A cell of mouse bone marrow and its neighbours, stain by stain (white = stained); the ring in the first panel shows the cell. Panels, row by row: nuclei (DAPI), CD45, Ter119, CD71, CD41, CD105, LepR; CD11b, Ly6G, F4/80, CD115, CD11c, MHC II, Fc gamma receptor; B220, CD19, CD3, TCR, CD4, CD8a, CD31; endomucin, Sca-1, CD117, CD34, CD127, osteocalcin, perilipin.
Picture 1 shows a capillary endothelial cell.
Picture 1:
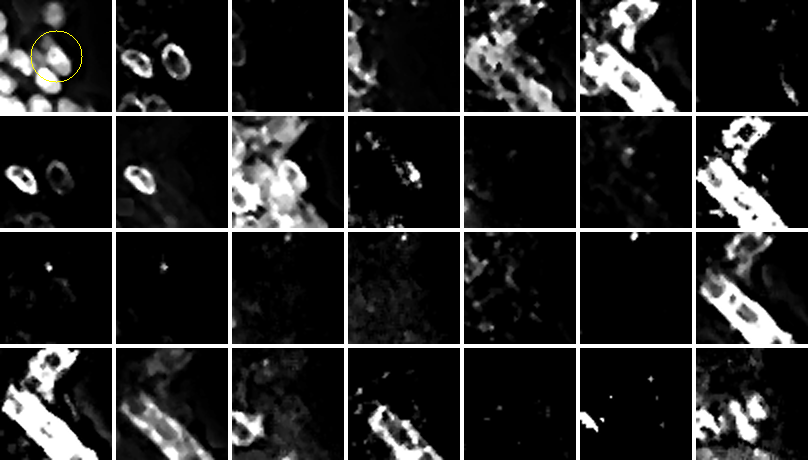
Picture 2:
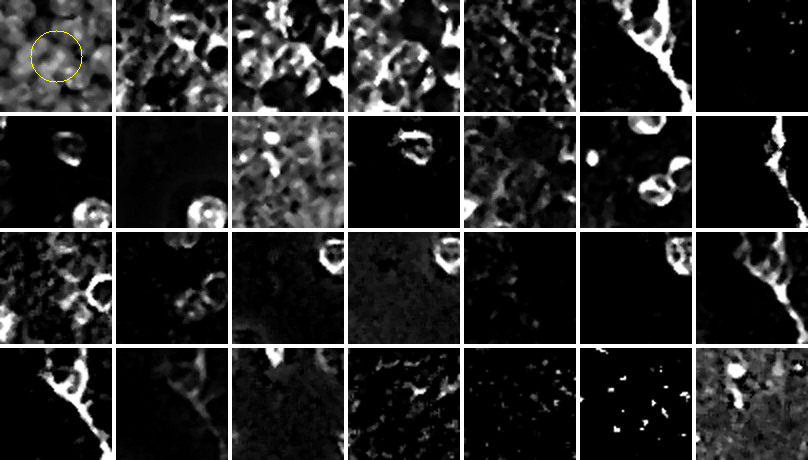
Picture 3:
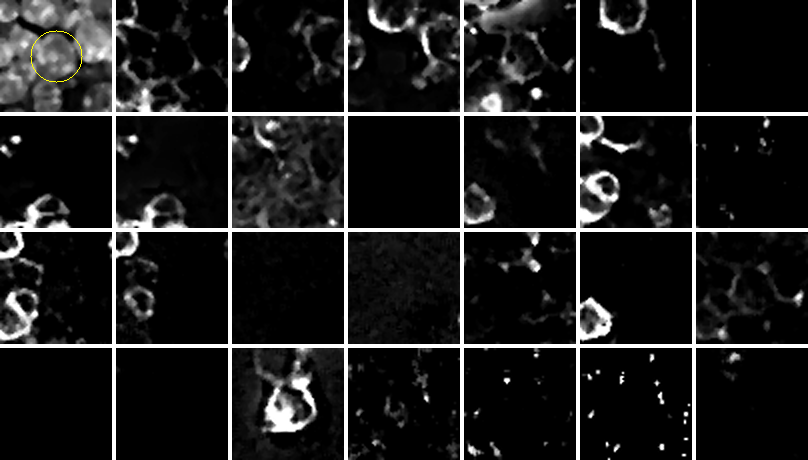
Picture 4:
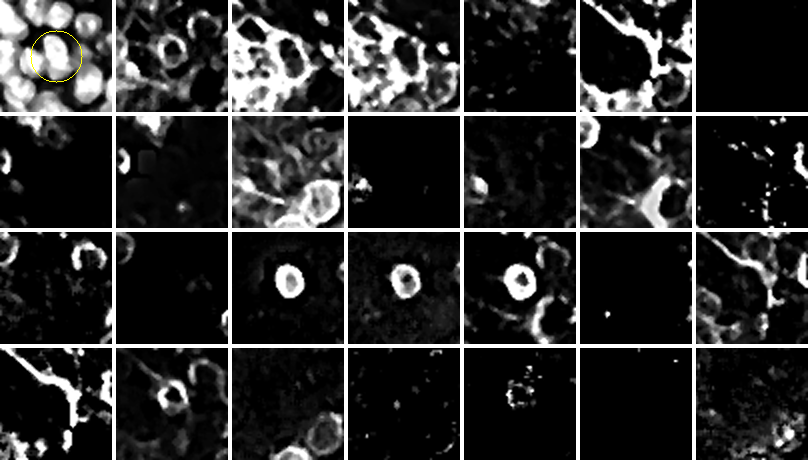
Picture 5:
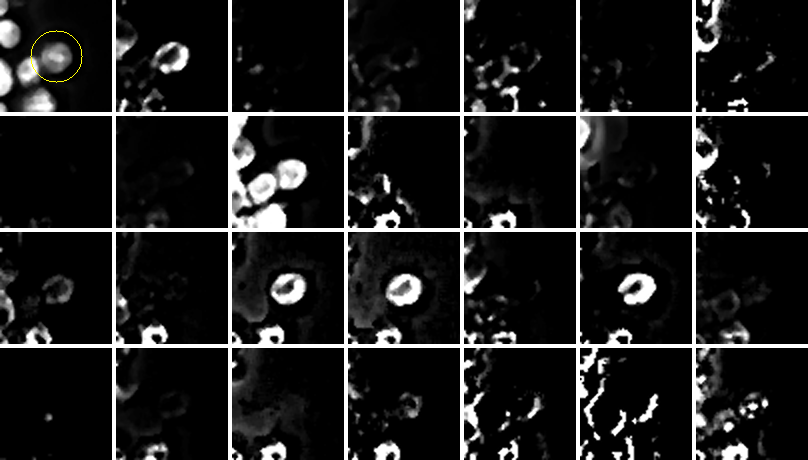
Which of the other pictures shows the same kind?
Picture 2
